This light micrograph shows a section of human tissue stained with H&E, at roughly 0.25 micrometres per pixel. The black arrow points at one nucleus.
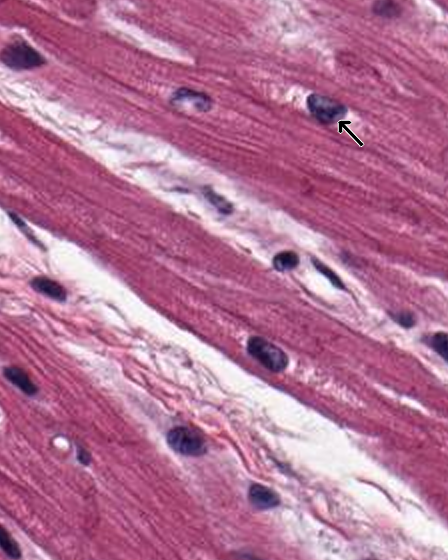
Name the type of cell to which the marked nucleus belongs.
cardiomyocyte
